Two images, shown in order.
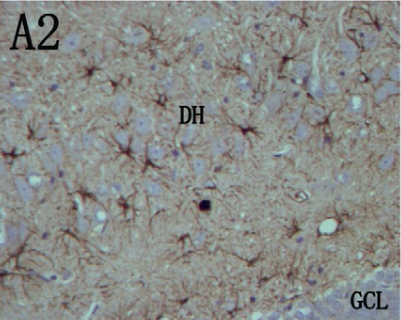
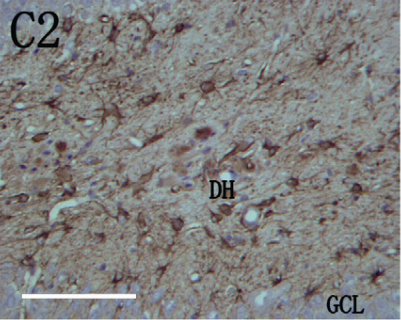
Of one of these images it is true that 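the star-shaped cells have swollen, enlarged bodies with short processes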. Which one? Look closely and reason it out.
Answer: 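The second image. Second image: brown cells have large rounded bodies and short thick processes. First image: brown cells have small bodies and long thin radiating processes.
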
